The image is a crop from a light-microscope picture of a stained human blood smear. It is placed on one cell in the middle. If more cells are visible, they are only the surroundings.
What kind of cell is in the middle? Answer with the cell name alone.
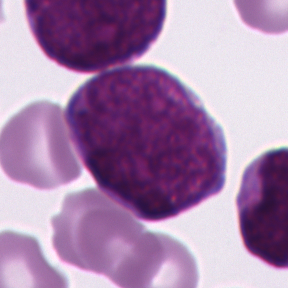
blast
